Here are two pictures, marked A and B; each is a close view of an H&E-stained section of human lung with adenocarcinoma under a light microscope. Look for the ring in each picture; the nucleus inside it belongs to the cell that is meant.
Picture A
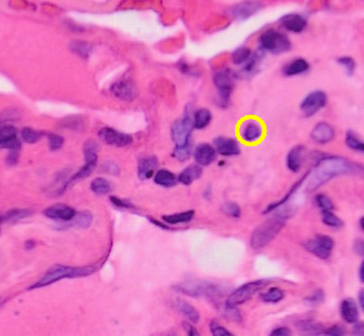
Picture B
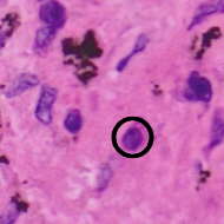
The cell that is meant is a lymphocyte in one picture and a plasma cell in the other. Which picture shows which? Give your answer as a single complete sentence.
Picture A shows a lymphocyte and picture B shows a plasma cell.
